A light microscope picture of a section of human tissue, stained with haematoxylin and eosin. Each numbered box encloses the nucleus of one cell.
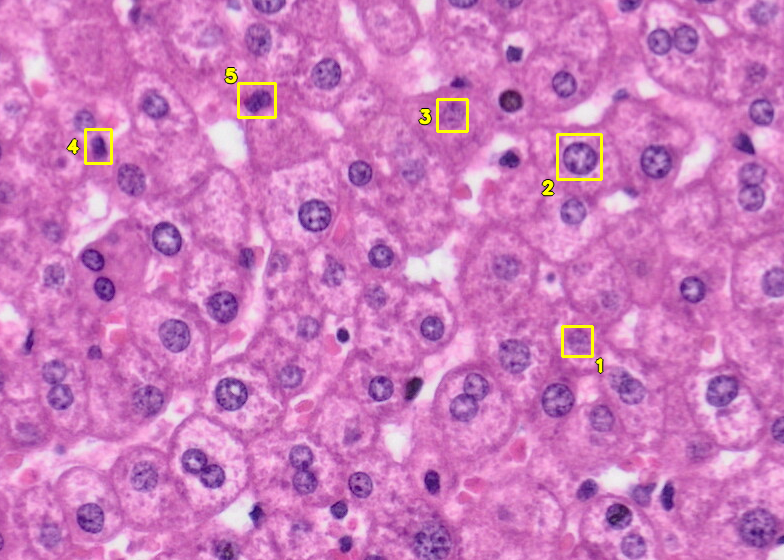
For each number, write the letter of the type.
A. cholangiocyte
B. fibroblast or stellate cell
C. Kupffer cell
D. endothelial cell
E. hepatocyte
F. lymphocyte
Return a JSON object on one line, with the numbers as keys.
{"1": "E", "2": "E", "3": "E", "4": "B", "5": "B"}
